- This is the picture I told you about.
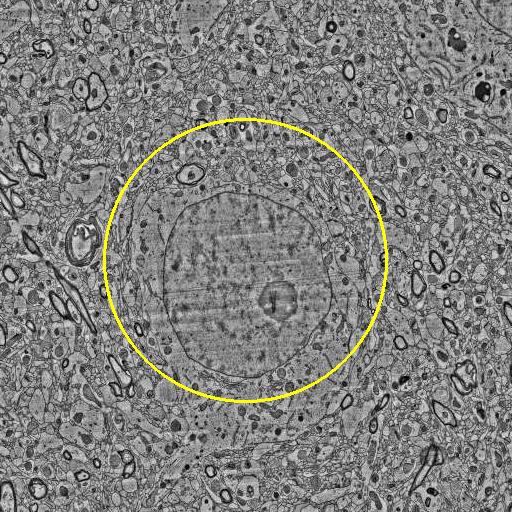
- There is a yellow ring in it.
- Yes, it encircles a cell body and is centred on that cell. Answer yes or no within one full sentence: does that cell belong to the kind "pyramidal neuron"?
Yes, that cell, the one the yellow ring is centred on, belongs to this kind.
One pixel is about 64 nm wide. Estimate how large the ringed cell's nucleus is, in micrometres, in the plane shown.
The nucleus is approximately 11 micrometers across in this plane.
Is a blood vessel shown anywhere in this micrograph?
No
